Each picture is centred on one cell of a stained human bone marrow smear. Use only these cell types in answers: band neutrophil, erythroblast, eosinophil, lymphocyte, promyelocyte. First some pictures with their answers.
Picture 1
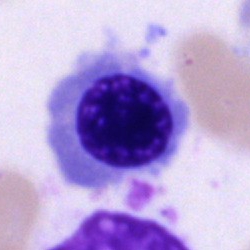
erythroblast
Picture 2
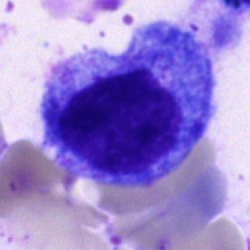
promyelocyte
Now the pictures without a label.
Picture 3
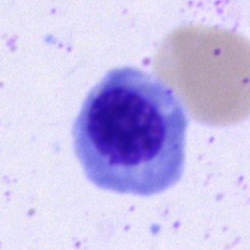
erythroblast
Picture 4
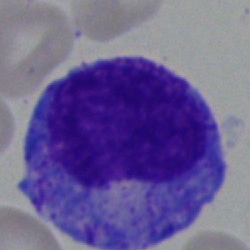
promyelocyte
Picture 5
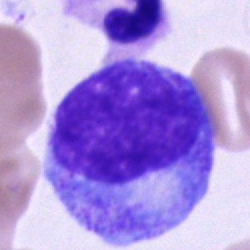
promyelocyte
